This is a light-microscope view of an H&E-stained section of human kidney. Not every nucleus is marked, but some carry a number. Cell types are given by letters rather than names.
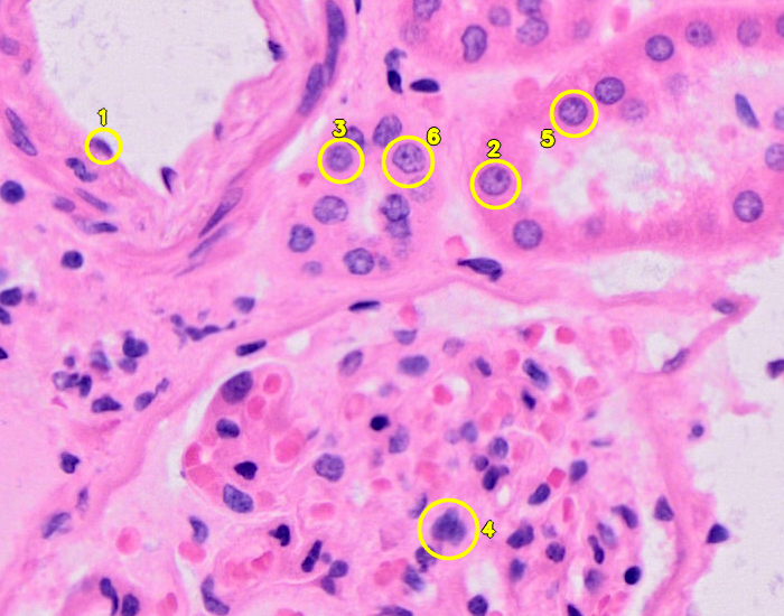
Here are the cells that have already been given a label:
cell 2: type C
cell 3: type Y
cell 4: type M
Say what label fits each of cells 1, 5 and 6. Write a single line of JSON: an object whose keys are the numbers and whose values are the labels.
{"1": "type M", "5": "type C", "6": "type Y"}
